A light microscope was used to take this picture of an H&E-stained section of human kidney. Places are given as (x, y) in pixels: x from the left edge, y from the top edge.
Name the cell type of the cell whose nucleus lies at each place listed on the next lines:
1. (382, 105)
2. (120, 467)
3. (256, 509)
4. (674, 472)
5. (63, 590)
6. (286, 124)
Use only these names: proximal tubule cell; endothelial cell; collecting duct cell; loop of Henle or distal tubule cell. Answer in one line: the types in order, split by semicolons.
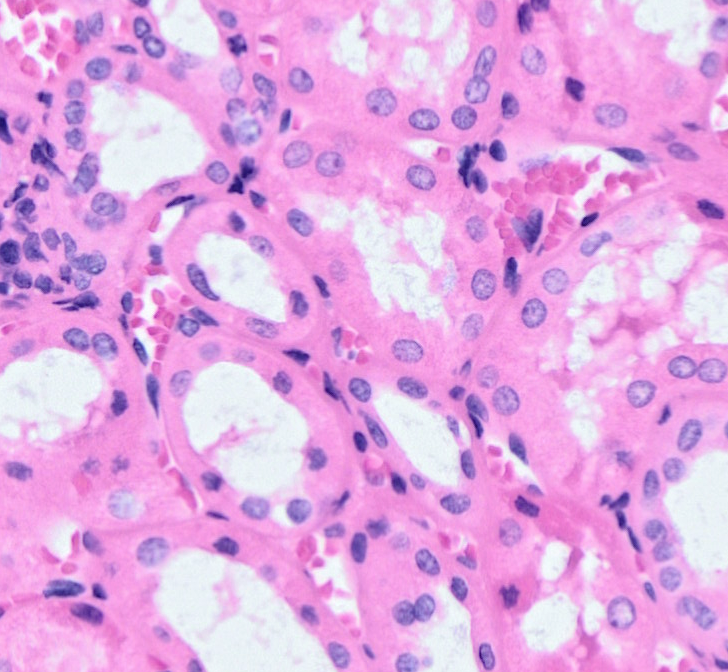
proximal tubule cell; loop of Henle or distal tubule cell; loop of Henle or distal tubule cell; collecting duct cell; endothelial cell; endothelial cell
